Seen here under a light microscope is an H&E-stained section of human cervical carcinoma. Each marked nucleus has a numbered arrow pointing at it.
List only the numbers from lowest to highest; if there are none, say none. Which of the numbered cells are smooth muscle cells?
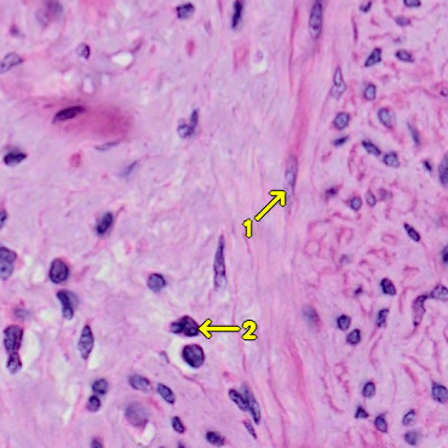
1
